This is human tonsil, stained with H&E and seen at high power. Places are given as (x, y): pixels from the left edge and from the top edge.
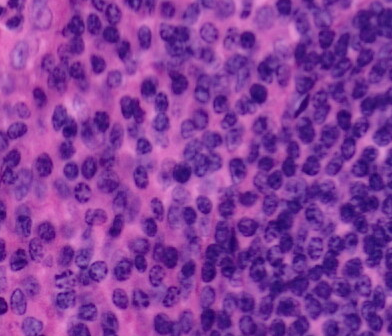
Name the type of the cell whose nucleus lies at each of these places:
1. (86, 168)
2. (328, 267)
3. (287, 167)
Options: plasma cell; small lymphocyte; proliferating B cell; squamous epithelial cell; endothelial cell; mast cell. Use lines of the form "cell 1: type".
cell 1: plasma cell
cell 2: small lymphocyte
cell 3: small lymphocyte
